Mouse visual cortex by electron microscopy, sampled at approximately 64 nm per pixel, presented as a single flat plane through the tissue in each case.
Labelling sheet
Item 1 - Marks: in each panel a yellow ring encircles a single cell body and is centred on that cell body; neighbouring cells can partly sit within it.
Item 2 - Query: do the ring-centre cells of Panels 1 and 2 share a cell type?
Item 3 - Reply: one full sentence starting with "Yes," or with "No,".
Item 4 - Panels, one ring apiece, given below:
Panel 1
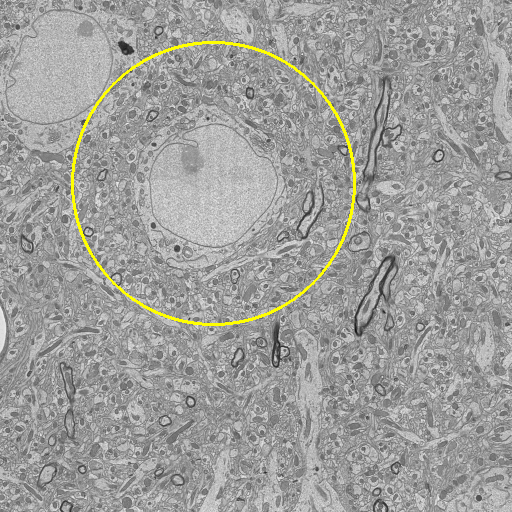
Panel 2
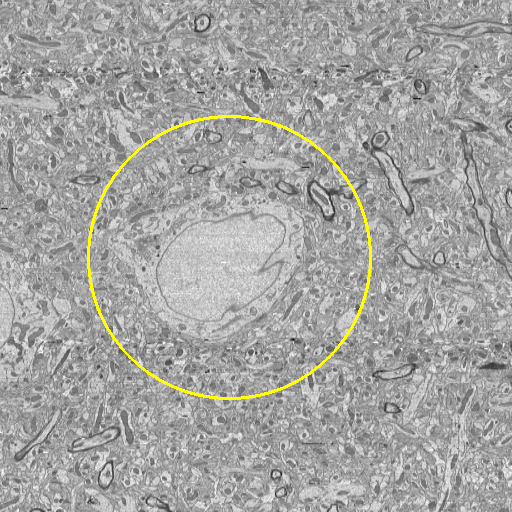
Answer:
Yes, Panel 1 and Panel 2 show one cell type at the centres of their rings.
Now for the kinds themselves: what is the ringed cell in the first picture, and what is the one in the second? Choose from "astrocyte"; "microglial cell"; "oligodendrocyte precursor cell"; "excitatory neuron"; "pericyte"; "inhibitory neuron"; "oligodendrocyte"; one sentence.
The cell at the ring centre is an excitatory neuron in both pictures.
